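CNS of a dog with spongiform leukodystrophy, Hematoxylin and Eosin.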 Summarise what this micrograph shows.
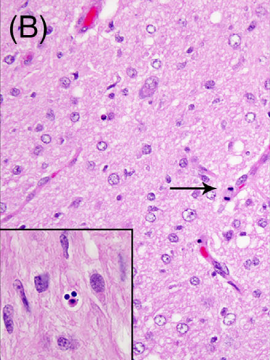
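This is brain tissue with gliosis, in which many glial cells are scattered through a pale pink fibrillar neuropil. Most glial nuclei are round to oval and vesicular, several with a clear perinuclear halo, and some elongated nuclei lie along small vessels containing red blood cells. A few small clear vacuoles lie in the neuropil. The inset shows a cell with small, dense, fragmented dark nuclear bodies in a clear space, in keeping with an apoptotic or necrotic glial cell.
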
